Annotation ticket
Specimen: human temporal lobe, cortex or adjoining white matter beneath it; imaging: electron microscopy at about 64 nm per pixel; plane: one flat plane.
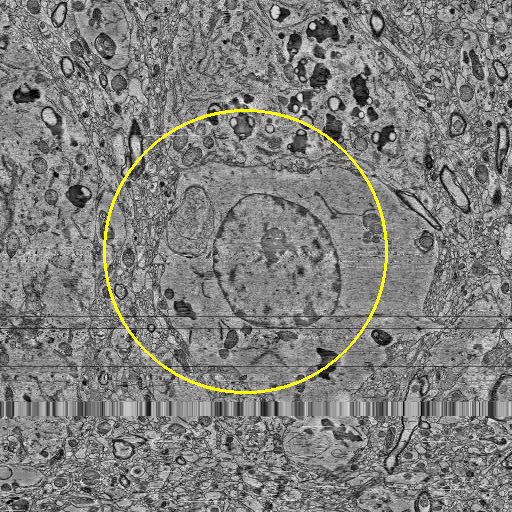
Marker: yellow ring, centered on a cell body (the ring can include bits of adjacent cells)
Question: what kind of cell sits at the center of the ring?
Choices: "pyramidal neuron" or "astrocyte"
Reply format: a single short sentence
The ring is centered on an astrocyte.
